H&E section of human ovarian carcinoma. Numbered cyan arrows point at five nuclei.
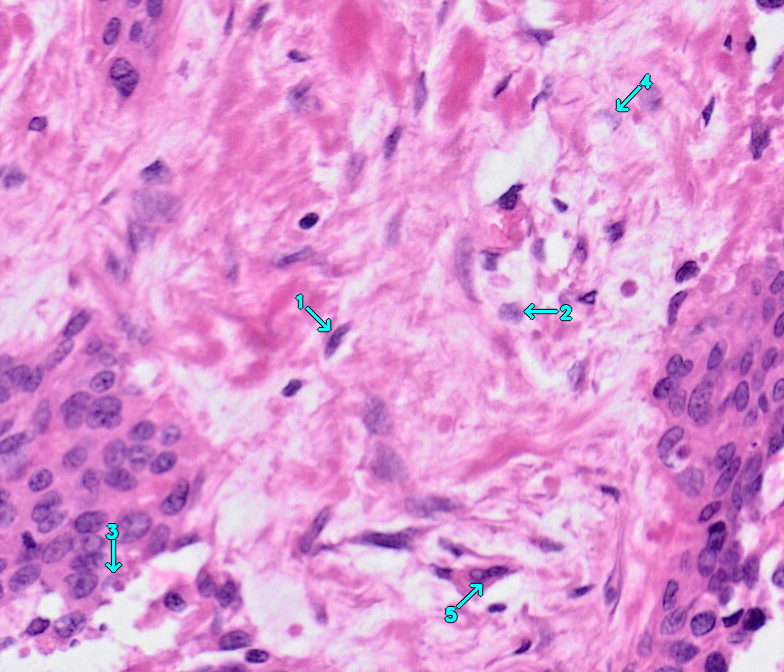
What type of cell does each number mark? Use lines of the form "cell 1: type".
cell 1: fibroblast
cell 2: fibroblast
cell 3: carcinoma cell
cell 4: fibroblast
cell 5: endothelial cell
